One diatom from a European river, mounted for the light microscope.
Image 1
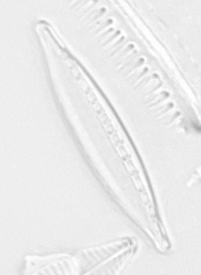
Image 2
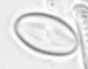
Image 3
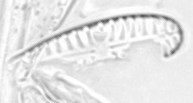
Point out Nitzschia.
That is picture 1.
